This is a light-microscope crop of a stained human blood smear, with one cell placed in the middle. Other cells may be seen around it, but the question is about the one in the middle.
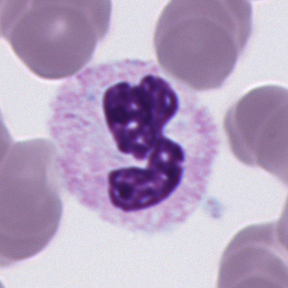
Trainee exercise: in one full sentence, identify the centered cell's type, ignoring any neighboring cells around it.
Seen at the centre of the crop is a segmented neutrophil.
